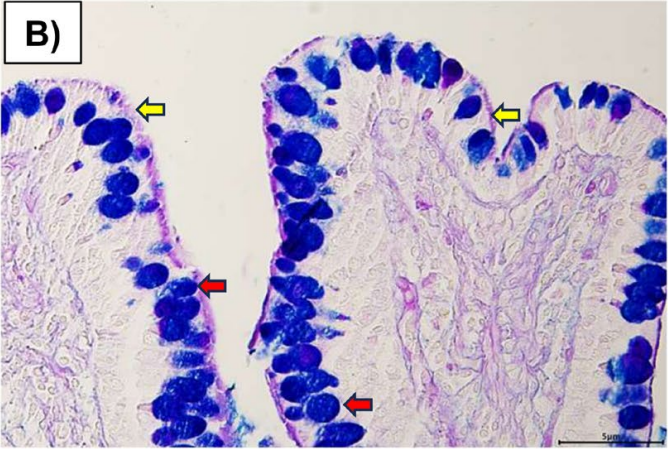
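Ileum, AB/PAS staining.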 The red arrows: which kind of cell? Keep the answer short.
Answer: Acidic goblet cells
